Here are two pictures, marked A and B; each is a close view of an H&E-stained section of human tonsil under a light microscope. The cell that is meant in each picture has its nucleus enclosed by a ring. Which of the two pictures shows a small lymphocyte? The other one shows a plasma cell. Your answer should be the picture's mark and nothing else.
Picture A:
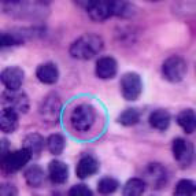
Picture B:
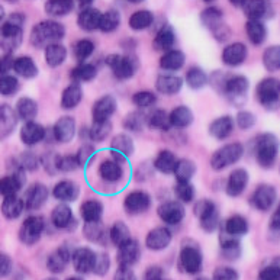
B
